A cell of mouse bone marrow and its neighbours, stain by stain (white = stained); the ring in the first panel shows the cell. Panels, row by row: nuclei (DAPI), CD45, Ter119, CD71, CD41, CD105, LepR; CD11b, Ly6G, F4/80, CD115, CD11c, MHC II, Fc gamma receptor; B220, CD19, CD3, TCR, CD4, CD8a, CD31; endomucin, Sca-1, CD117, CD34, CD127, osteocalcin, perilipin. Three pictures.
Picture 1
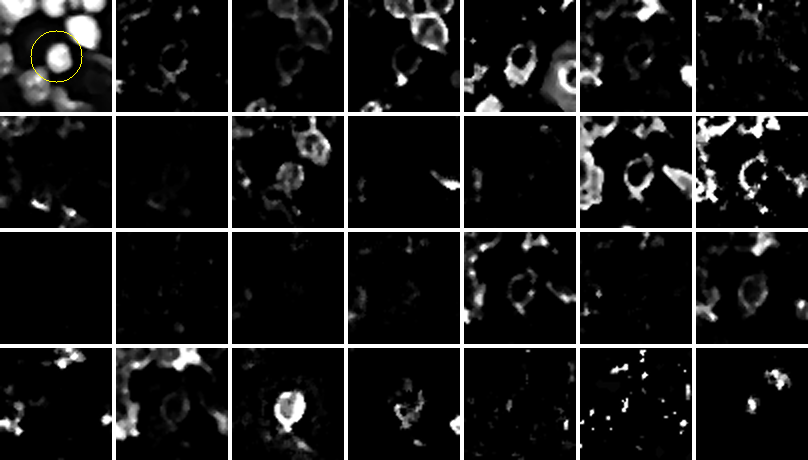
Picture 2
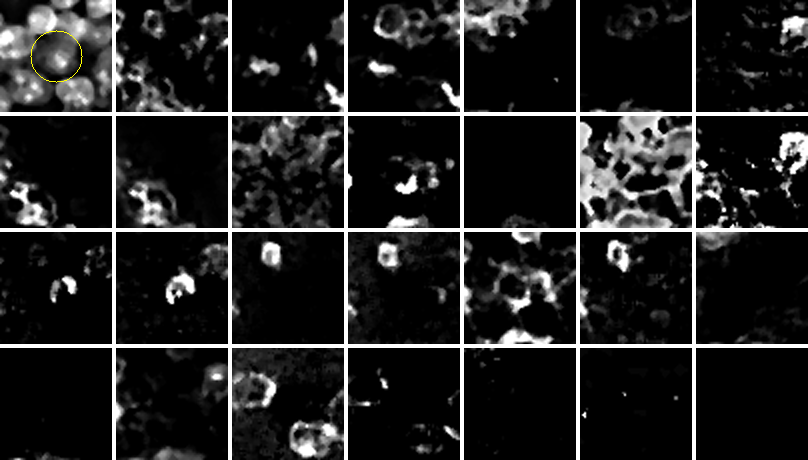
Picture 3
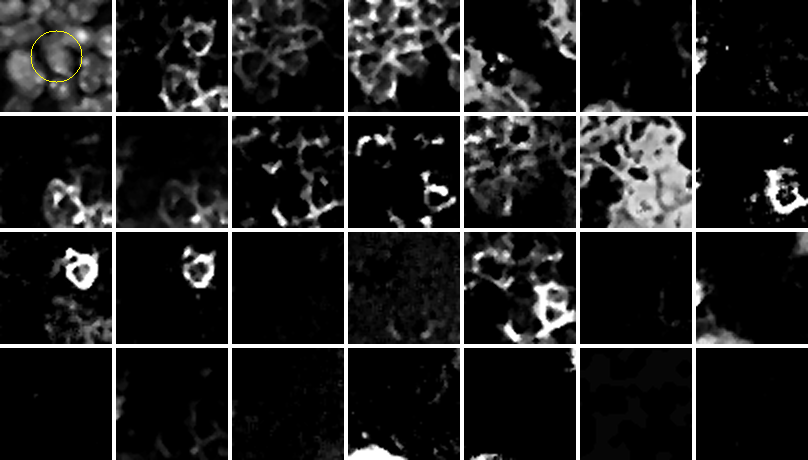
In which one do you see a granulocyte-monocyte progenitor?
In picture 1.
